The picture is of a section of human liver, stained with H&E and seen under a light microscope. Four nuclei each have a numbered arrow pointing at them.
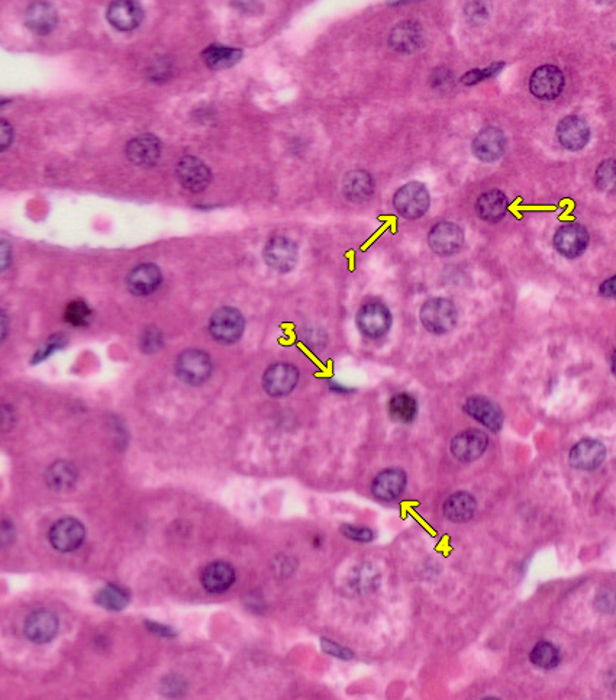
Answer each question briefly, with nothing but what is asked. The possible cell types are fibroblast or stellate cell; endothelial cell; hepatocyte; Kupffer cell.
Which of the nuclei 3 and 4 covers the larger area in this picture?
4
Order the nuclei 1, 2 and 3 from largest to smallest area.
1, 2, 3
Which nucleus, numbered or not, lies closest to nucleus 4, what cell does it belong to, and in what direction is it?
a Kupffer cell, below and to the left of nucleus 4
